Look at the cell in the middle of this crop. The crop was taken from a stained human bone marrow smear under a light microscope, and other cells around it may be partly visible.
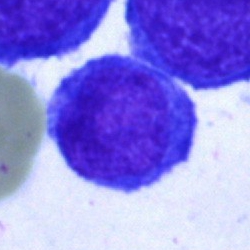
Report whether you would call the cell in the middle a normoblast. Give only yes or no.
no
